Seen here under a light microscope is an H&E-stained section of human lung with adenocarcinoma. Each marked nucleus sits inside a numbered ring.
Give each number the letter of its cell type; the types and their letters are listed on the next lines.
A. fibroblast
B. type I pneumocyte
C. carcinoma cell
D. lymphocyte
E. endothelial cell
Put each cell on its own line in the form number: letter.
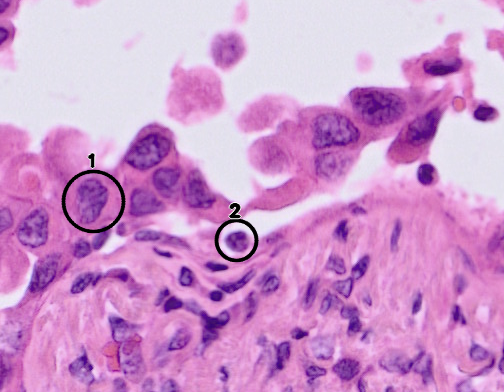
1: C
2: D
